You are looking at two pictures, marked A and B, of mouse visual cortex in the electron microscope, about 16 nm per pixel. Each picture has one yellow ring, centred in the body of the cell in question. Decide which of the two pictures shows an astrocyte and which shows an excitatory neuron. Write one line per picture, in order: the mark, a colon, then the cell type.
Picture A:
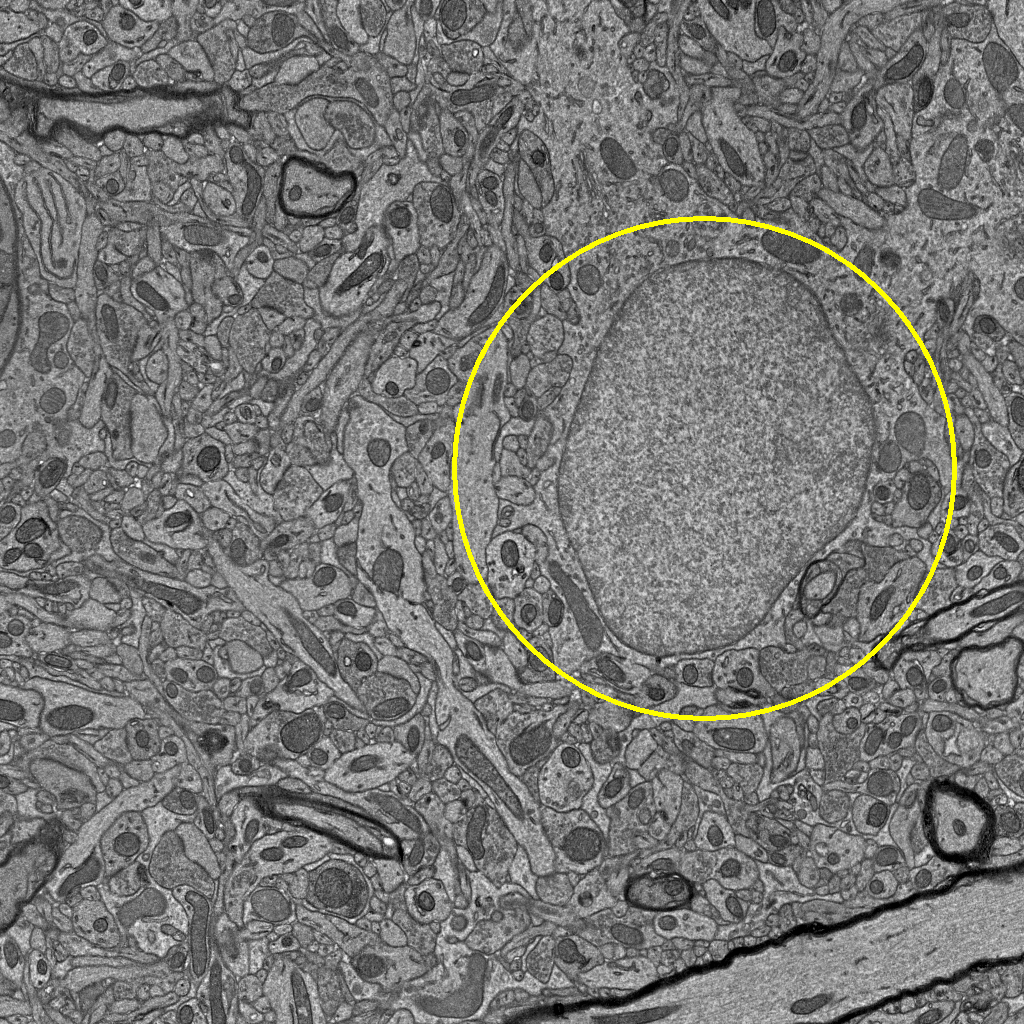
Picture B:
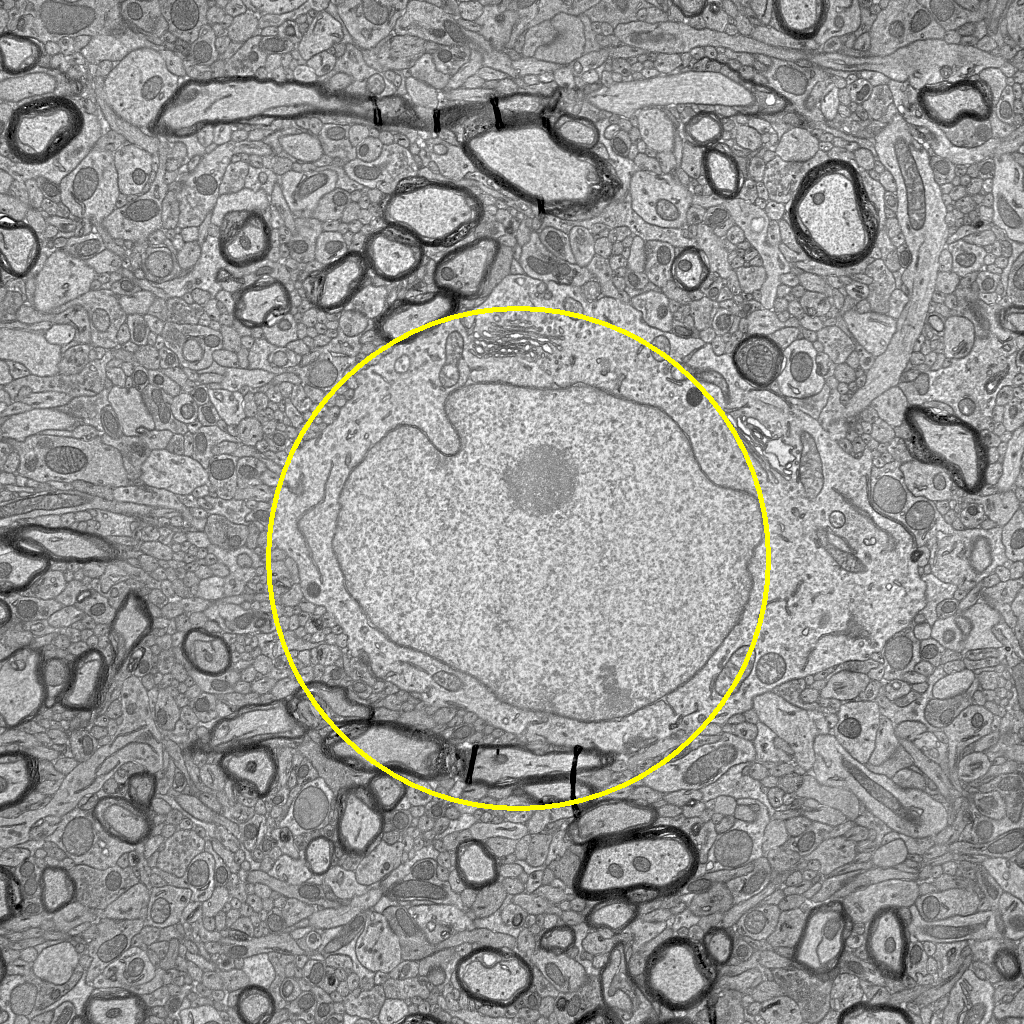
A: astrocyte
B: excitatory neuron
